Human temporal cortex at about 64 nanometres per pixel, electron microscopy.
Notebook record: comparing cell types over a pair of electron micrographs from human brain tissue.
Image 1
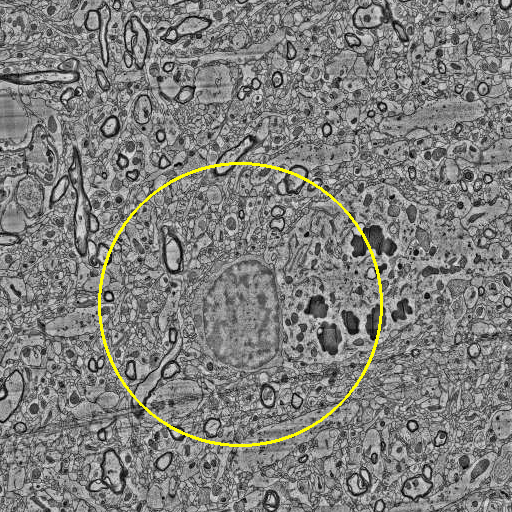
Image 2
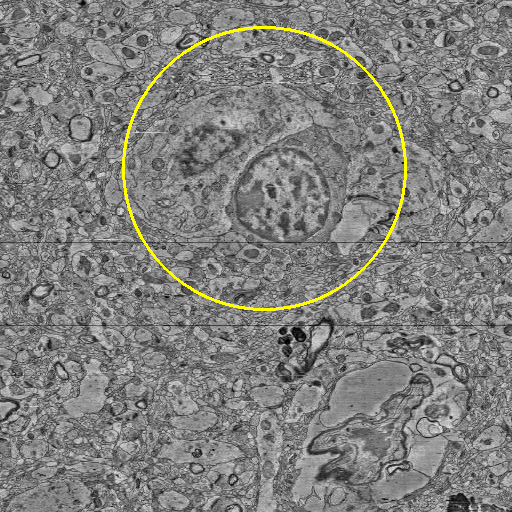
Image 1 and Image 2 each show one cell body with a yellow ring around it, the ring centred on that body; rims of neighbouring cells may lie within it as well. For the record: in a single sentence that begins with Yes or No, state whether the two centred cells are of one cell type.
Yes, one cell type is shared by the centred cells of Image 1 and Image 2.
